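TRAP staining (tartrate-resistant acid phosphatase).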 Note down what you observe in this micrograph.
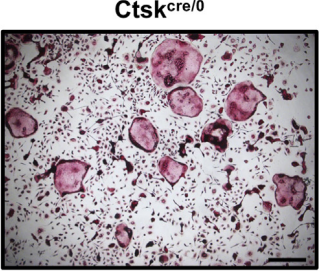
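This culture shows osteoclasts, large multinucleated cells stained pink to red, scattered among many small mononuclear cells. The large cells are rounded and flattened, each with a darker outline and several darker nuclei grouped inside. They lie separated from one another by fields of small, spindle-shaped or rounded cells on a pale background. Some of the smaller cells are also pink-red.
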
